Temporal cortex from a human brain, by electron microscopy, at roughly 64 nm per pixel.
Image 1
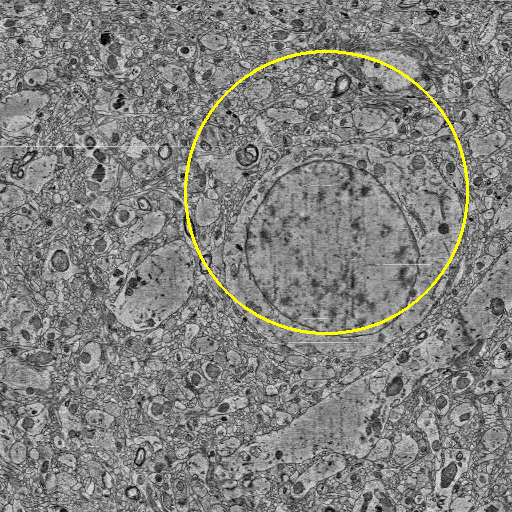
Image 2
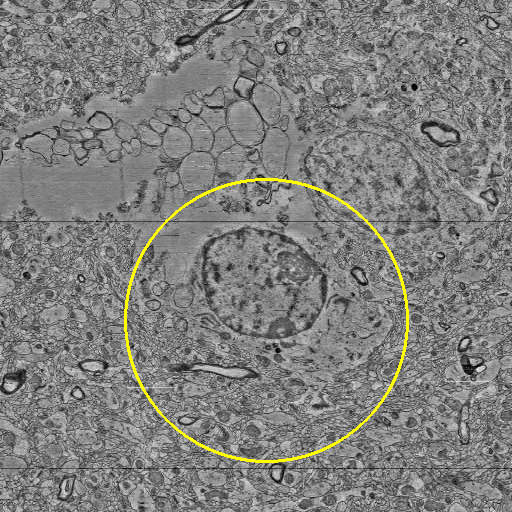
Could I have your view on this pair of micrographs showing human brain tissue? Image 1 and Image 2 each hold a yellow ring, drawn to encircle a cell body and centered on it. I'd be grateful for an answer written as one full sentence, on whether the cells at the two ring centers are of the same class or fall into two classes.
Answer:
The cells at the centers of the two rings fall into two classes.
